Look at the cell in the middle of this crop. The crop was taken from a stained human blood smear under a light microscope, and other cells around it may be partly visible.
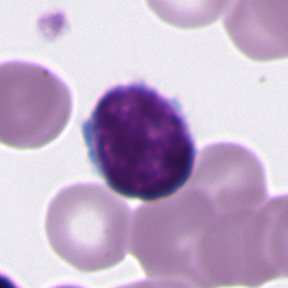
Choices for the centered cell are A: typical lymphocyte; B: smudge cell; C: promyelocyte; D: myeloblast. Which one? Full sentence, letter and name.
Given that the cell in the middle is a typical lymphocyte, option A is correct.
